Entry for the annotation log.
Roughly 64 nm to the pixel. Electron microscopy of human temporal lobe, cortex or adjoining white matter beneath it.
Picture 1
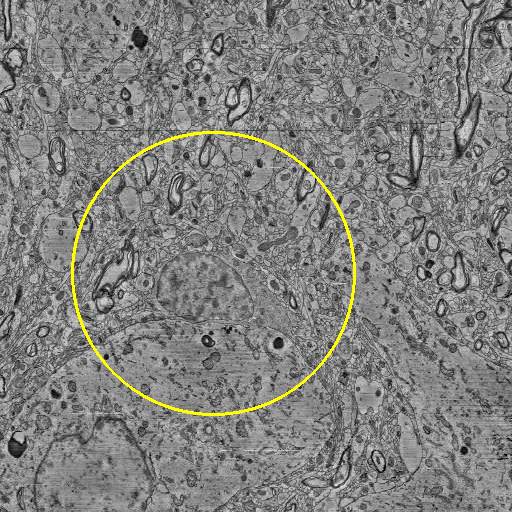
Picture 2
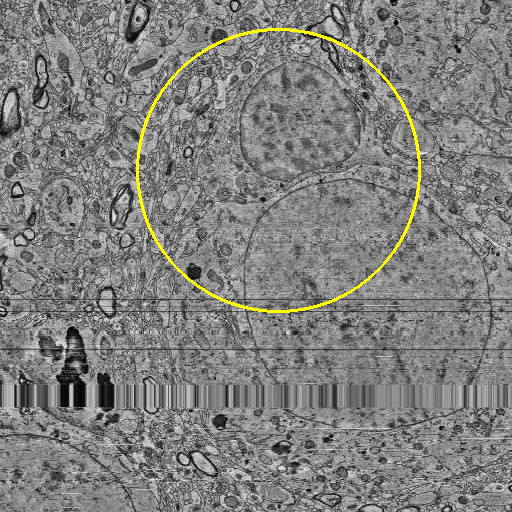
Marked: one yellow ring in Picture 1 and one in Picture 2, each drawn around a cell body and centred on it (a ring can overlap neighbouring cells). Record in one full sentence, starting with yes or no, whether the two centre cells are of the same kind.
Yes, both cells are of the same kind.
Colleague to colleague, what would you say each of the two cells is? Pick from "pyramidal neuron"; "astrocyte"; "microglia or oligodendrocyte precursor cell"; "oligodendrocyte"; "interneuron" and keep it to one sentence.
Each one of the two ringed cells is an oligodendrocyte.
